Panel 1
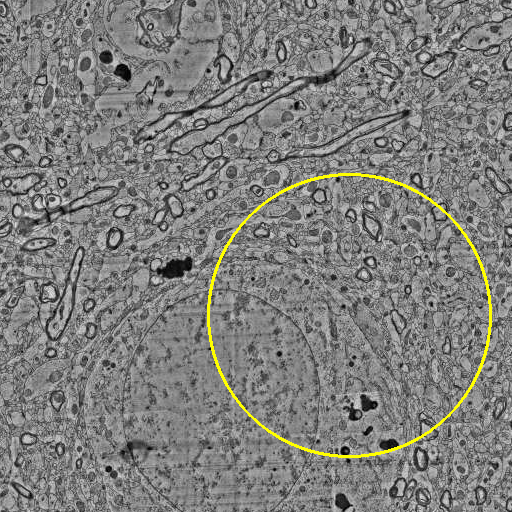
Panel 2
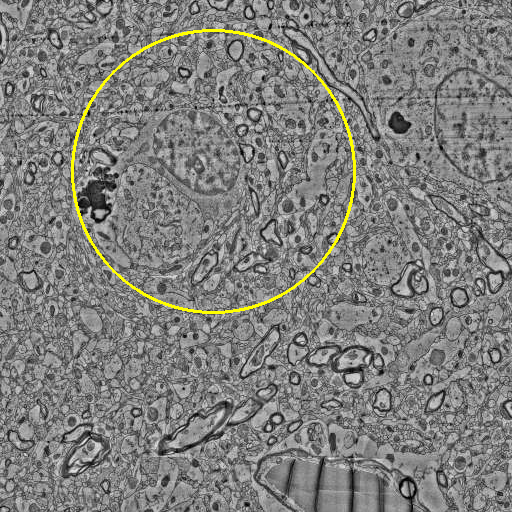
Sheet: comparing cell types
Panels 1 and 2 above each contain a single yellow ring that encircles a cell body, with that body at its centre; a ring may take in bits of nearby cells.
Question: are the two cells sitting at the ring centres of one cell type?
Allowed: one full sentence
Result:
Yes, the ring-centre cells in Panel 1 and Panel 2 are of one type.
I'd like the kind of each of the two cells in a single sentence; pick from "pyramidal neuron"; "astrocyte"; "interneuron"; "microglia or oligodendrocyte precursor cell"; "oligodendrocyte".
The cell in the first picture is an oligodendrocyte, and so is the one in the second.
